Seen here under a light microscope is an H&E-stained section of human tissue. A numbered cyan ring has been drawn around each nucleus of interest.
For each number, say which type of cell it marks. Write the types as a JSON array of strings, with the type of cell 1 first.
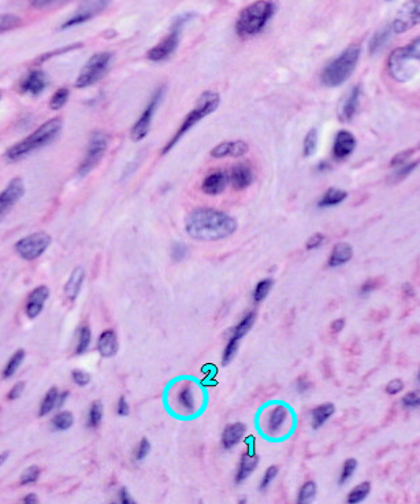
["smooth muscle cell", "fibroblast"]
